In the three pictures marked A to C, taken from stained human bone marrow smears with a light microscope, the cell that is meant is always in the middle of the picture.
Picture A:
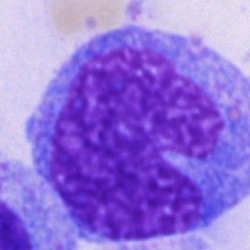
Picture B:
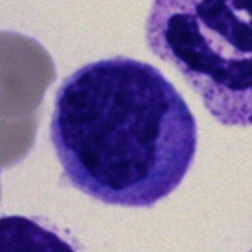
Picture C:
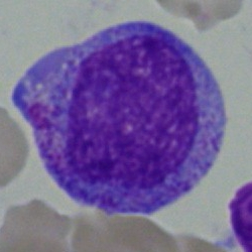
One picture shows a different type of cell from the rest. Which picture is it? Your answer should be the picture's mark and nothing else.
C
